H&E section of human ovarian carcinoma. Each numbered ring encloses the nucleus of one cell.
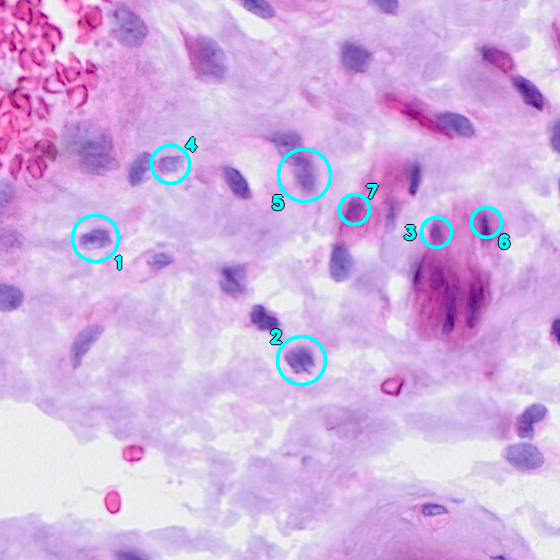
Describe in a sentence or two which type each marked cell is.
Cells 1, 2, 4 and 5 are fibroblasts. Cells 3, 6 and 7 are smooth muscle cells.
